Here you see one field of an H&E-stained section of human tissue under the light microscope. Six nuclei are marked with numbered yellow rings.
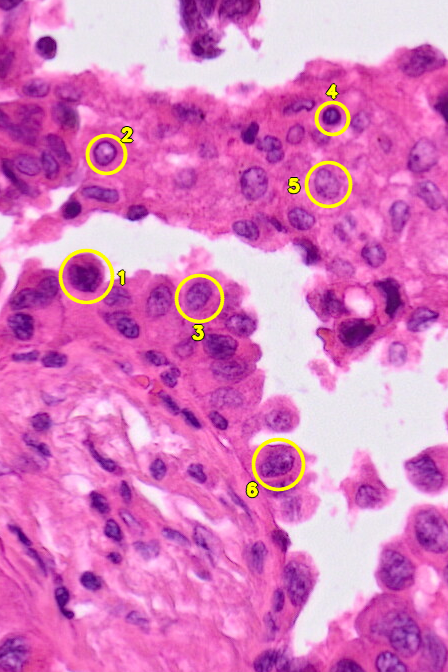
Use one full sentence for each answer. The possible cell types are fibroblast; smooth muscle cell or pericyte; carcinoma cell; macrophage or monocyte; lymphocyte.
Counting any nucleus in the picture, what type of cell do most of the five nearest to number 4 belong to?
Macrophages or monocytes account for more than half of the five nuclei nearest to number 4.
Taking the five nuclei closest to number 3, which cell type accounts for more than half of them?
Carcinoma cells account for more than half of the five nuclei nearest to number 3.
